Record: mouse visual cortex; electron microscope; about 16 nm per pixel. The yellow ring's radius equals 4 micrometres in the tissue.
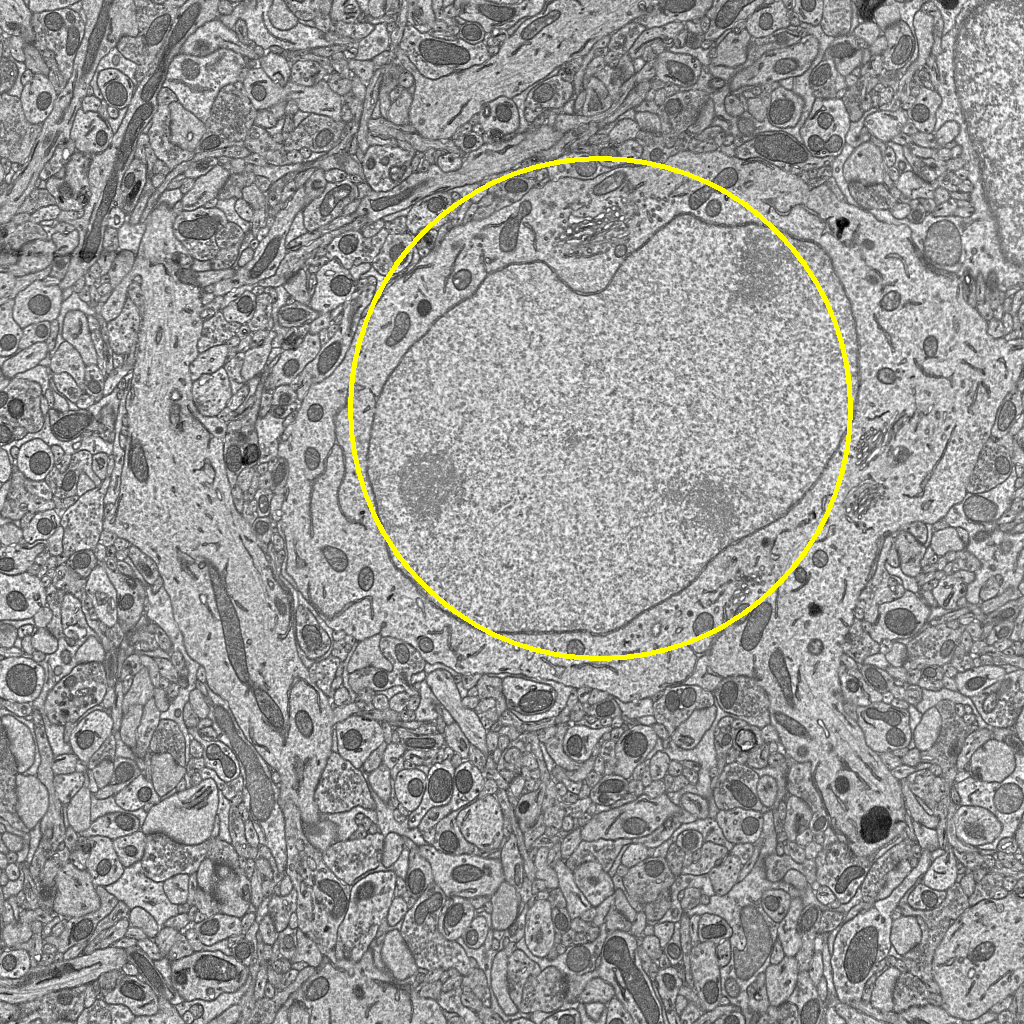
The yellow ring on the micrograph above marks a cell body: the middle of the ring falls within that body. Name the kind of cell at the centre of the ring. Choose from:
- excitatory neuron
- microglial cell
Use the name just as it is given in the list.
excitatory neuron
